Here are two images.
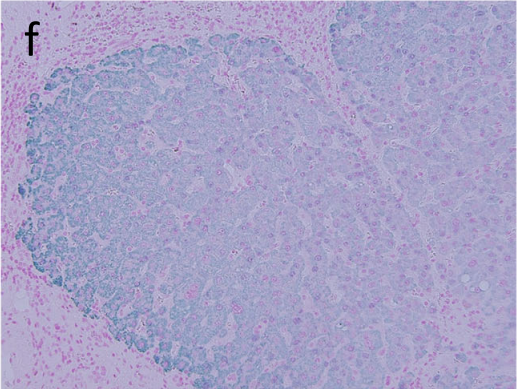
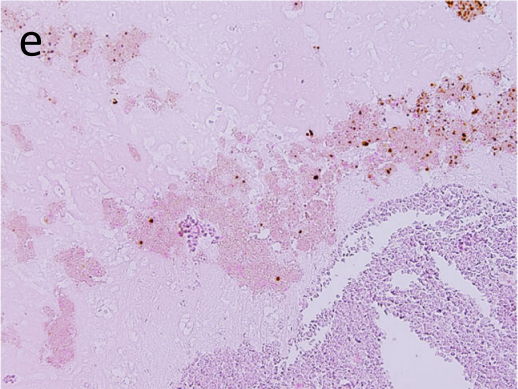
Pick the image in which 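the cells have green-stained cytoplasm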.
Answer: The first image.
